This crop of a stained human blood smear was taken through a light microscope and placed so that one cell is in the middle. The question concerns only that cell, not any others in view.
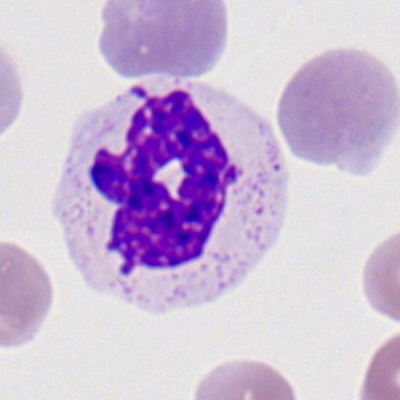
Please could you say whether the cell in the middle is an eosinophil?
no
